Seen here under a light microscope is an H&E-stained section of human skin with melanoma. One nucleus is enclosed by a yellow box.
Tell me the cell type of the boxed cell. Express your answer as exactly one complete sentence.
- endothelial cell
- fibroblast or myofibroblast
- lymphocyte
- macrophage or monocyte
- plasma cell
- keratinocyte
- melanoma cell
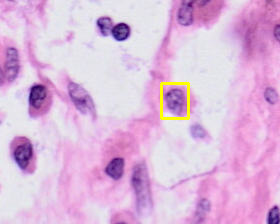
The correct response here is that the boxed cell is a macrophage or monocyte.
